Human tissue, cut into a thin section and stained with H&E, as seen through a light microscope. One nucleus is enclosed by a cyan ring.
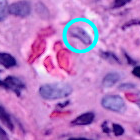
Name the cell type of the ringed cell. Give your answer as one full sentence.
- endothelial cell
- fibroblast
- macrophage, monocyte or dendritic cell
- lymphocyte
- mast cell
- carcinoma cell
The classification of the ringed cell is as an endothelial cell.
